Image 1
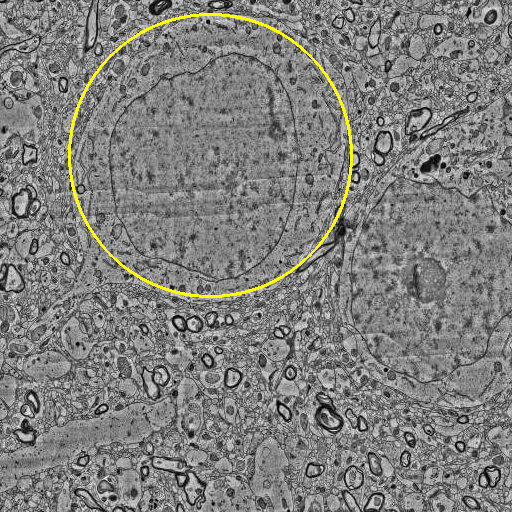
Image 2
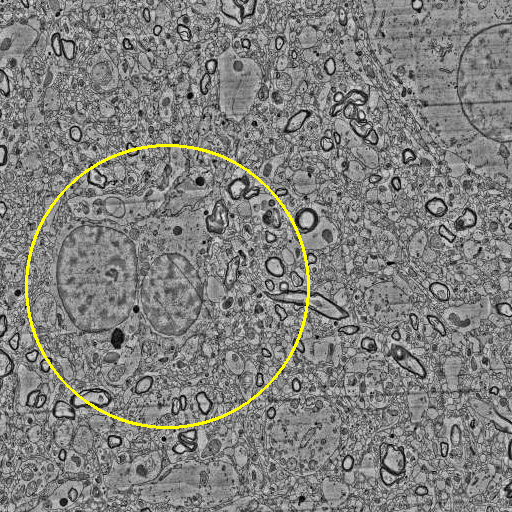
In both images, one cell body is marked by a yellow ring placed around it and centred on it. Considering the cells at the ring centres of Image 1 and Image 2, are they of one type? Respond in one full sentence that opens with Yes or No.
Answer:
No, two types apply to the ring-centred cells of Image 1 and Image 2.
